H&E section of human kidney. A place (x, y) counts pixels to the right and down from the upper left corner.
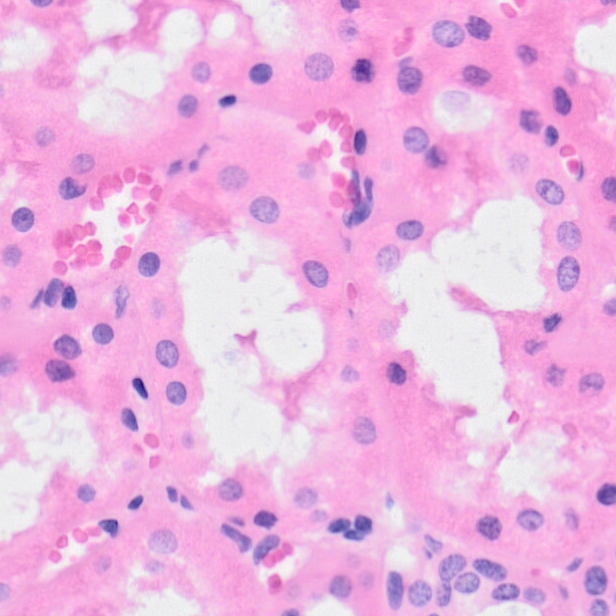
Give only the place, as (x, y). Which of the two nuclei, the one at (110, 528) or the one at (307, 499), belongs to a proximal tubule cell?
(307, 499)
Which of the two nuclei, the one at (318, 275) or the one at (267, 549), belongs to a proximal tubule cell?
(318, 275)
